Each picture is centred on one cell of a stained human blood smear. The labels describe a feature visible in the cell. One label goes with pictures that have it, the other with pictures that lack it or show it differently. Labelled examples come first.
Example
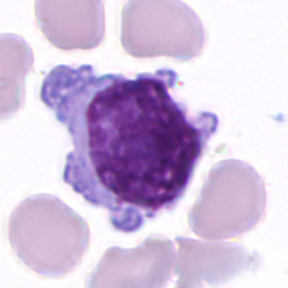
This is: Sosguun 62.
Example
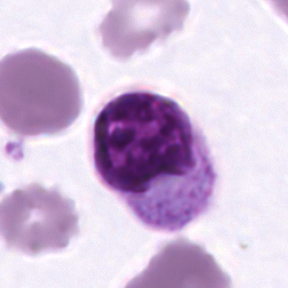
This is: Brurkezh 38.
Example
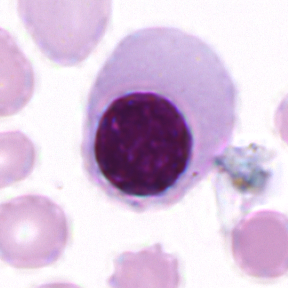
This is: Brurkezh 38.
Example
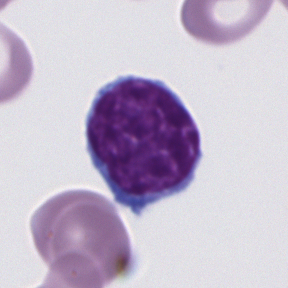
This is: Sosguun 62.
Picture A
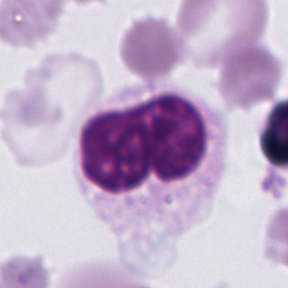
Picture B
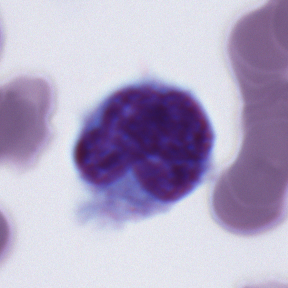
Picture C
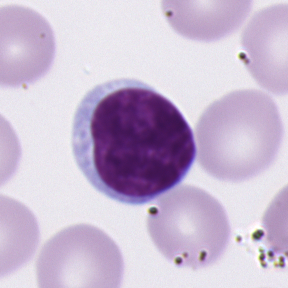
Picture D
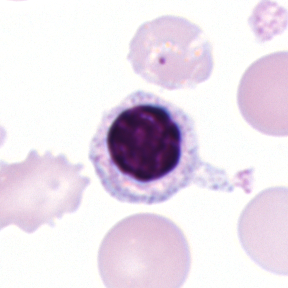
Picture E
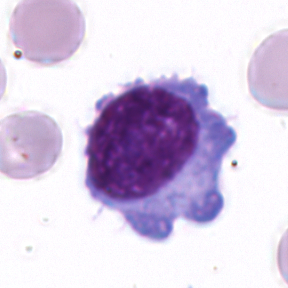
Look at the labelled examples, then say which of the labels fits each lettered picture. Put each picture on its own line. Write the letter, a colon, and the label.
A: Sosguun 62.
B: Sosguun 62.
C: Brurkezh 38.
D: Sosguun 62.
E: Sosguun 62.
